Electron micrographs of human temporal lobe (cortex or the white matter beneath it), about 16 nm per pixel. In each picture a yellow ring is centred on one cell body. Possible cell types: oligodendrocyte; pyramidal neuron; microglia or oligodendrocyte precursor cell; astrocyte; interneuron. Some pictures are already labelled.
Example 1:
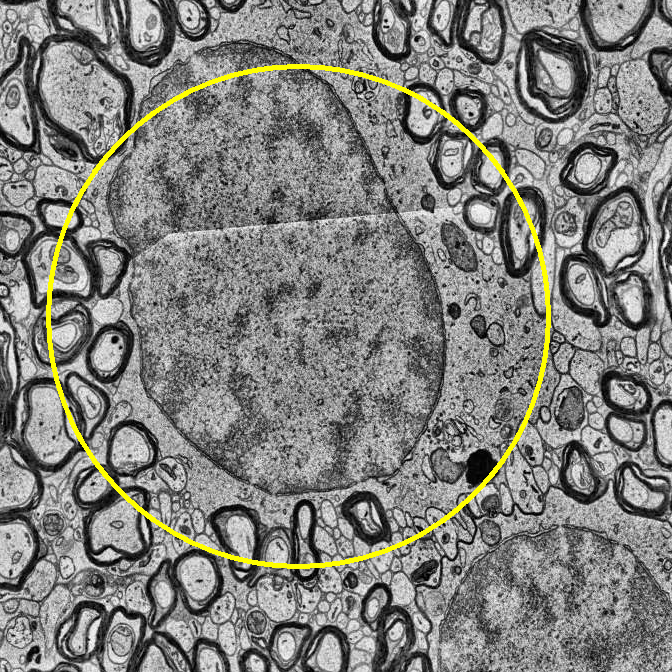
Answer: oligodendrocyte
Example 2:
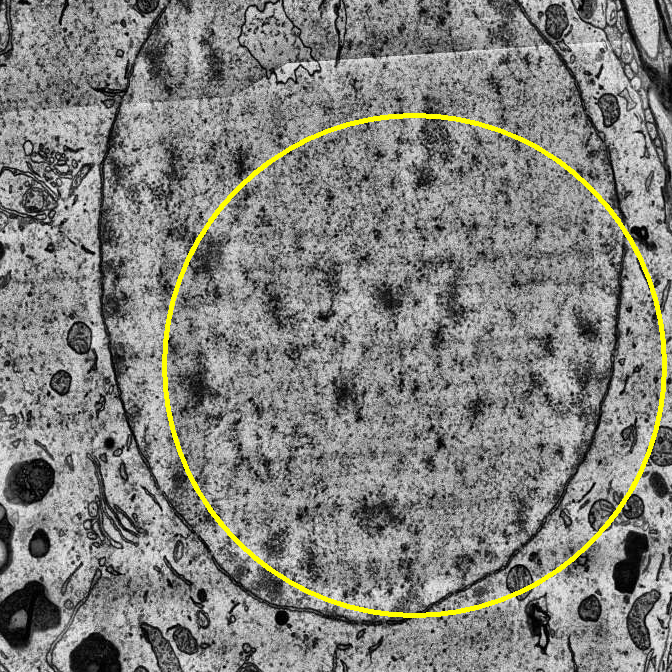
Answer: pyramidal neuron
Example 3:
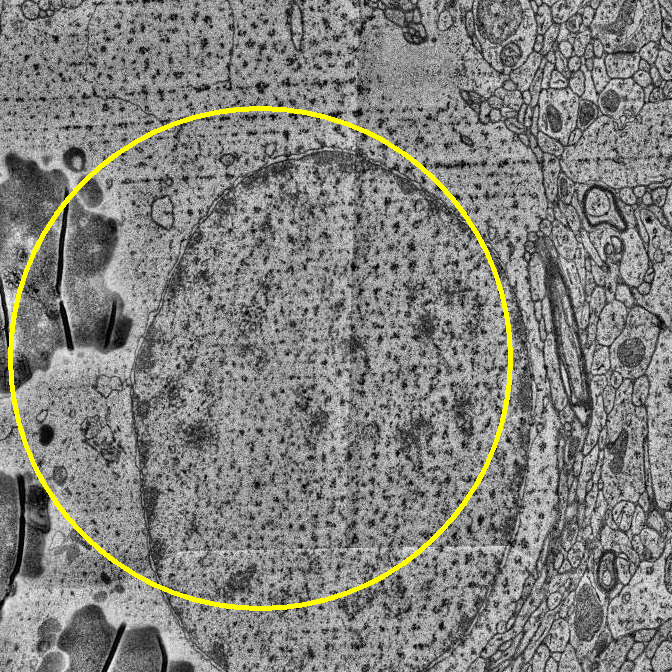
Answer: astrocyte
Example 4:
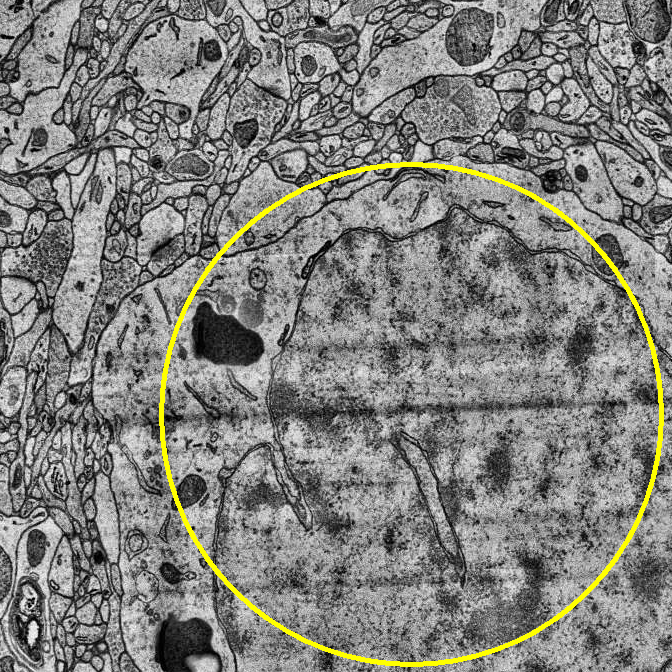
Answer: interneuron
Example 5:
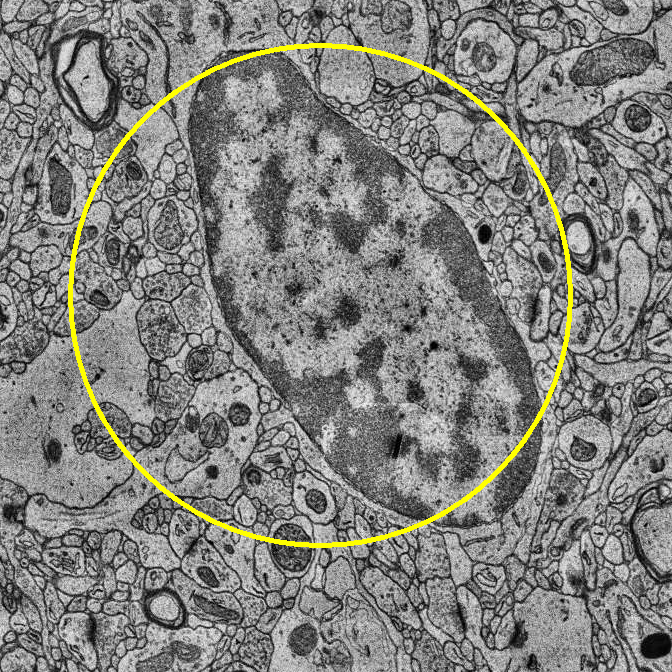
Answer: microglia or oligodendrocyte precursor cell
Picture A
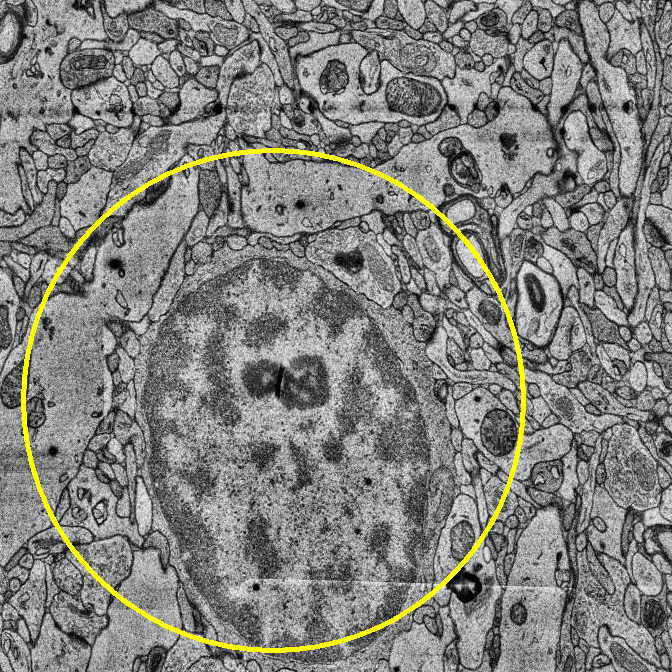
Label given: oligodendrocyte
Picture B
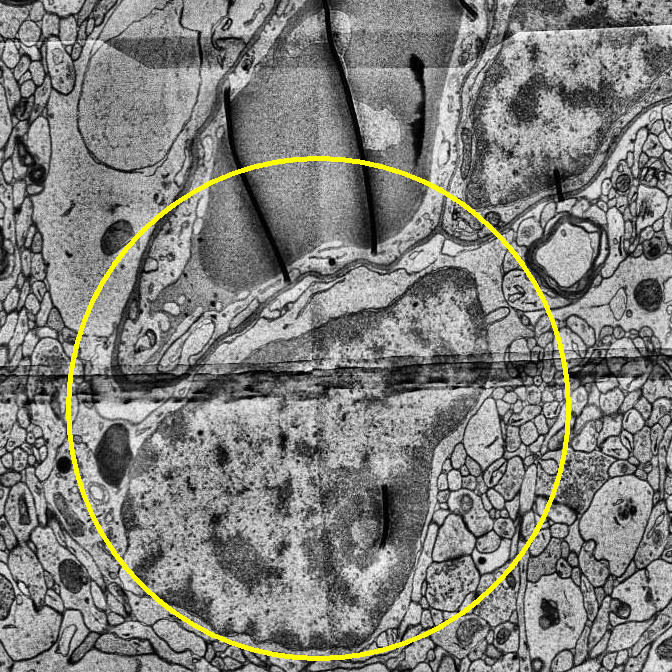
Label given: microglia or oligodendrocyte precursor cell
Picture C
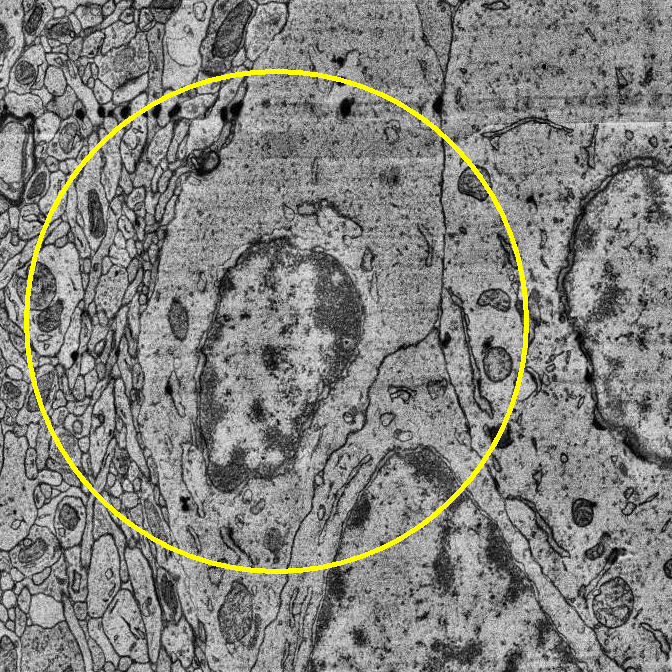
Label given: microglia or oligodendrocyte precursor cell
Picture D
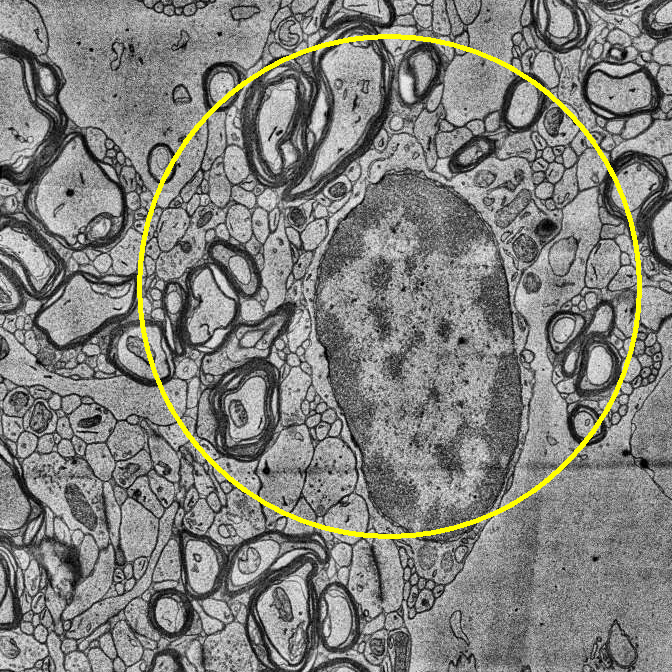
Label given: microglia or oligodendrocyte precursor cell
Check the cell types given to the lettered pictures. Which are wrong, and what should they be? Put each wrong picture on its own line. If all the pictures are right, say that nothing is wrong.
Every label is right.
